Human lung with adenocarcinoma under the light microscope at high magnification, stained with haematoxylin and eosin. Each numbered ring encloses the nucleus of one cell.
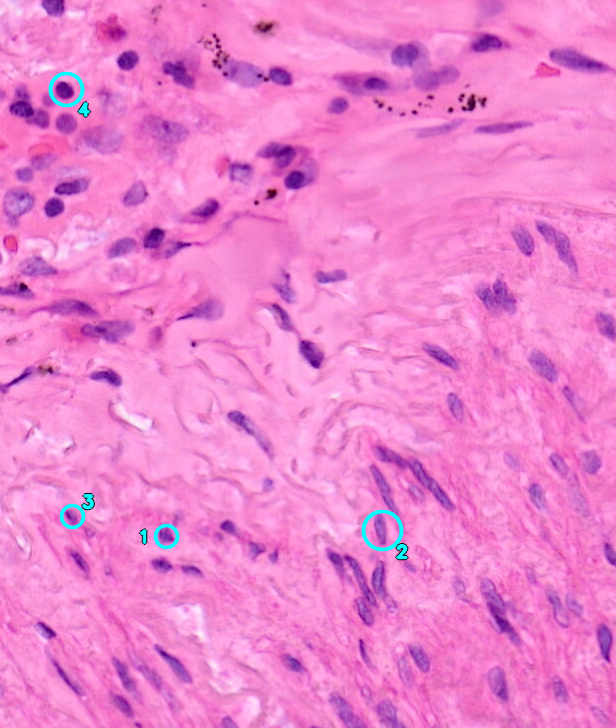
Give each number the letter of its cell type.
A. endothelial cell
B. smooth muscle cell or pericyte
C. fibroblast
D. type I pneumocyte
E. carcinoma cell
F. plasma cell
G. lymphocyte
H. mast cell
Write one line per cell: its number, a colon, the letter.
1: B
2: B
3: B
4: G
